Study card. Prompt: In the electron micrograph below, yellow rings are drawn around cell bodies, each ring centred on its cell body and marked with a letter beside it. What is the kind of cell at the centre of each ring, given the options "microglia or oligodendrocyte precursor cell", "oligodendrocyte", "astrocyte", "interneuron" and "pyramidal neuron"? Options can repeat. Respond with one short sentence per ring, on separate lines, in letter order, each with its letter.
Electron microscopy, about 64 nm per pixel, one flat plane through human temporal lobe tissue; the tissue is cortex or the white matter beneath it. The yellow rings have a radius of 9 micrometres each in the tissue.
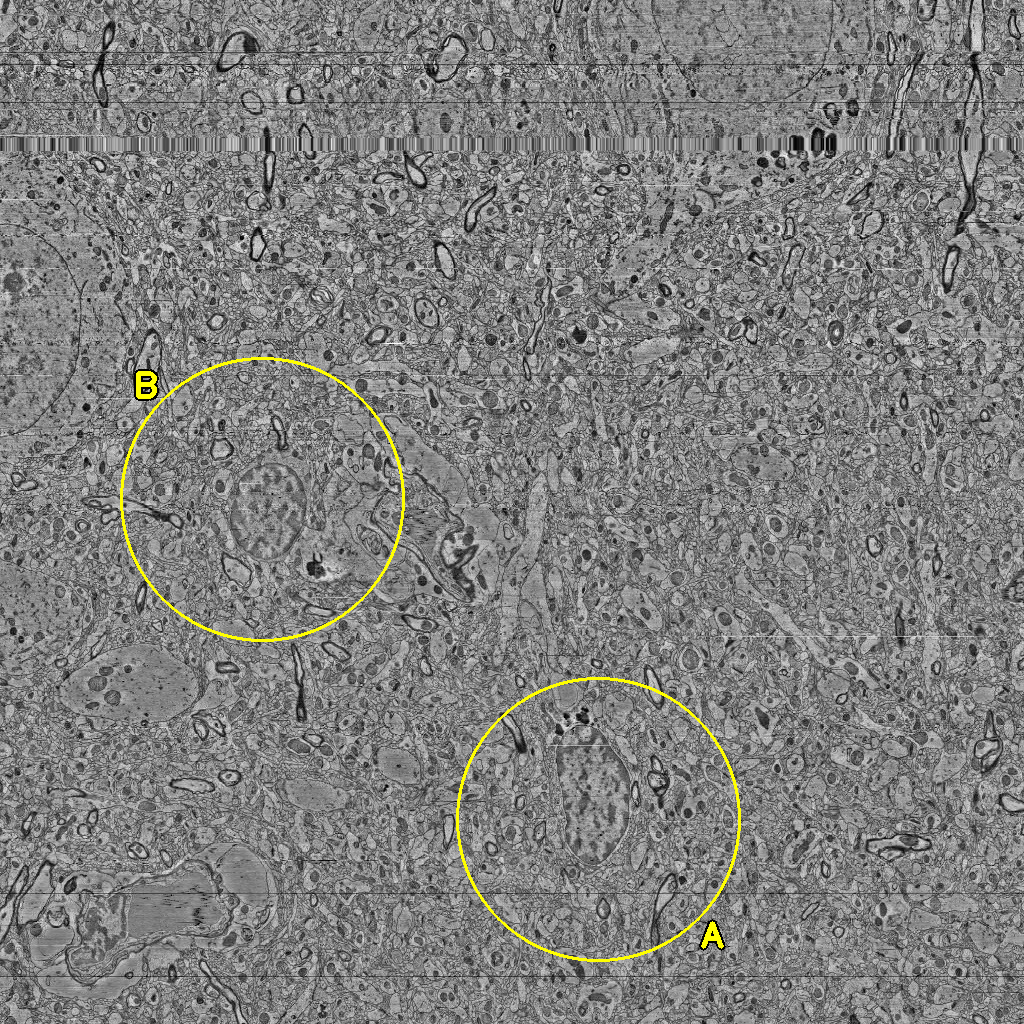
Ring A outlines a microglial cell or oligodendrocyte precursor cell.
Ring B outlines an oligodendrocyte.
